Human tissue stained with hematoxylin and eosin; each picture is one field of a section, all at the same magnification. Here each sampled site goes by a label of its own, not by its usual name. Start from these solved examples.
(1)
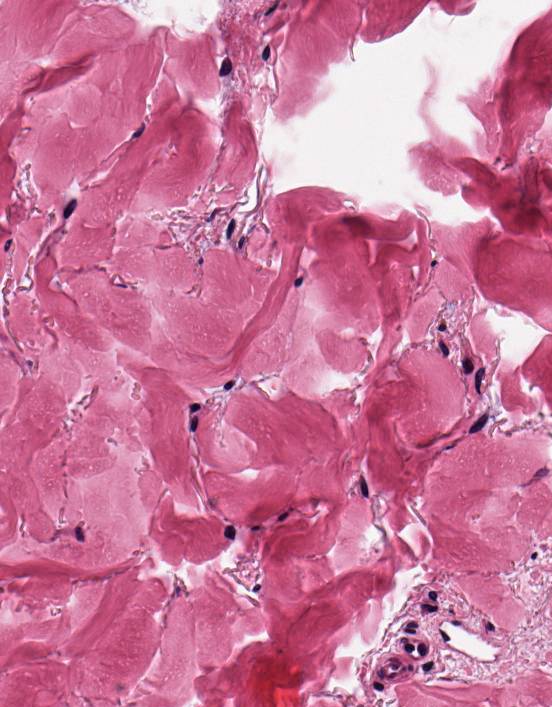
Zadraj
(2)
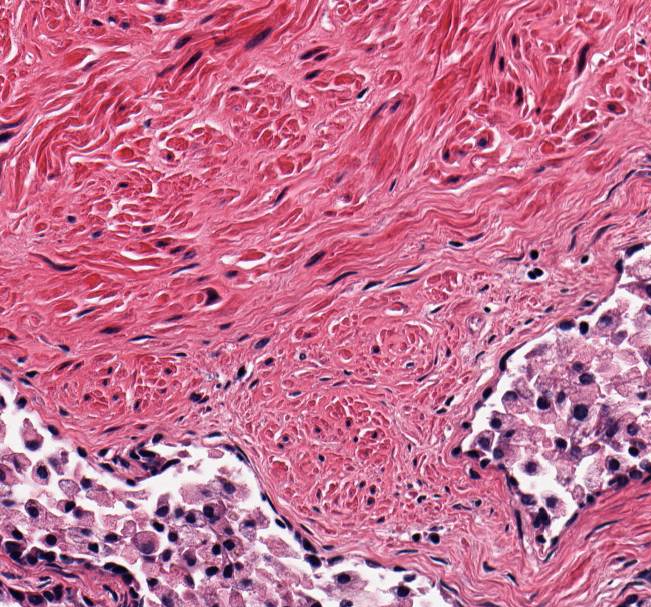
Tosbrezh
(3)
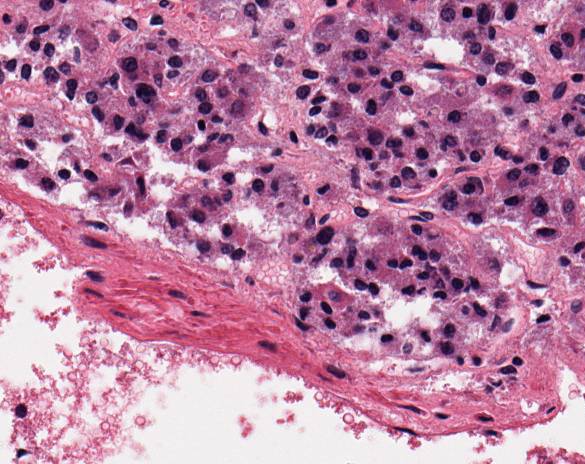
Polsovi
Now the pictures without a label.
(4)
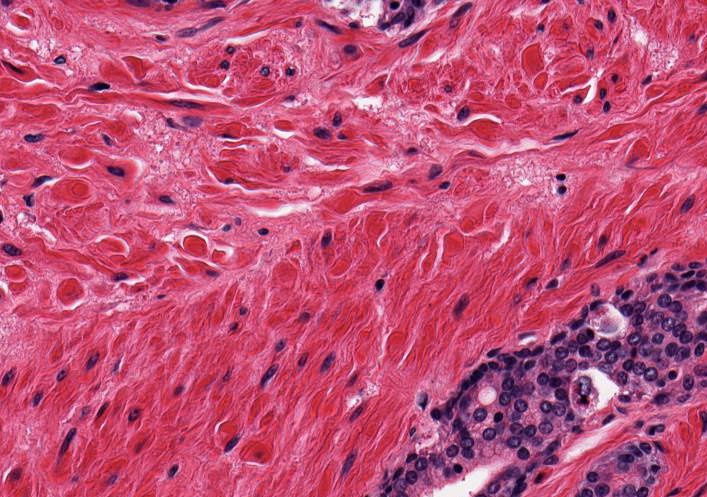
Tosbrezh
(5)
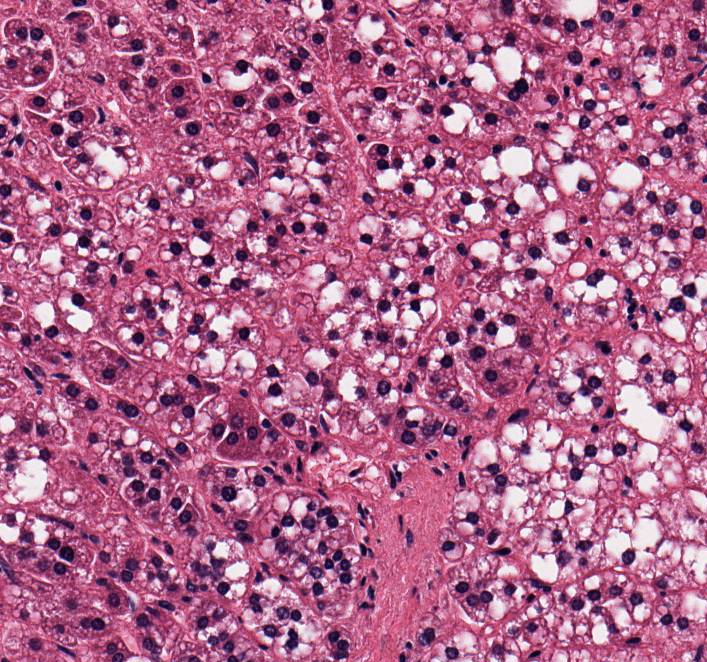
Polsovi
